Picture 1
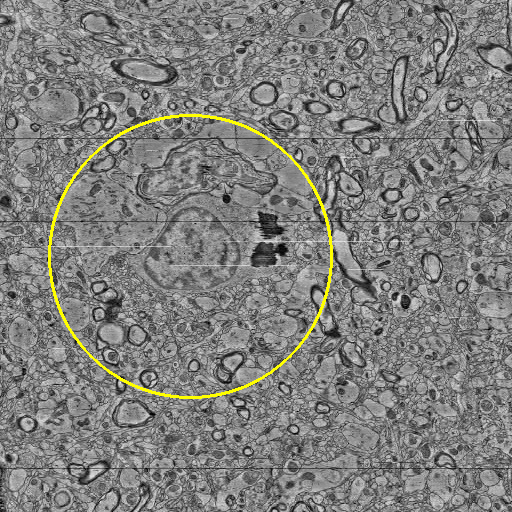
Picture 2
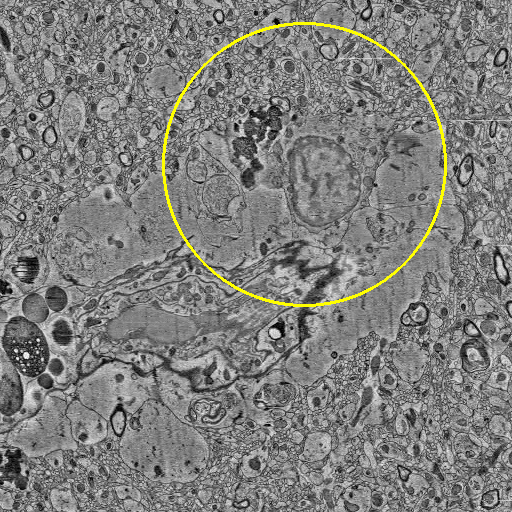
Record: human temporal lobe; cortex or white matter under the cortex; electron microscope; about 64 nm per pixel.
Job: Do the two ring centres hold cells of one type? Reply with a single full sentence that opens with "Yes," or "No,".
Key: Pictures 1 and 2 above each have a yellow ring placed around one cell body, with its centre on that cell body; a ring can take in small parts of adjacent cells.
Yes, the cells at the two ring centres are of one single type.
